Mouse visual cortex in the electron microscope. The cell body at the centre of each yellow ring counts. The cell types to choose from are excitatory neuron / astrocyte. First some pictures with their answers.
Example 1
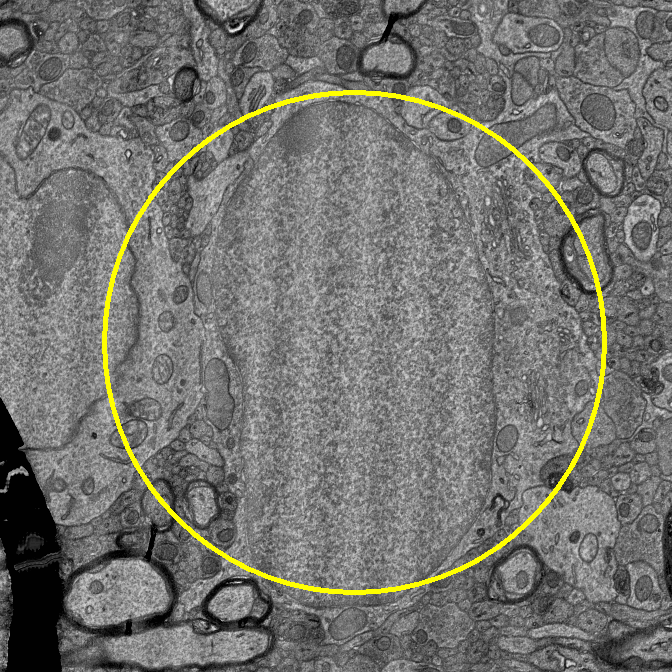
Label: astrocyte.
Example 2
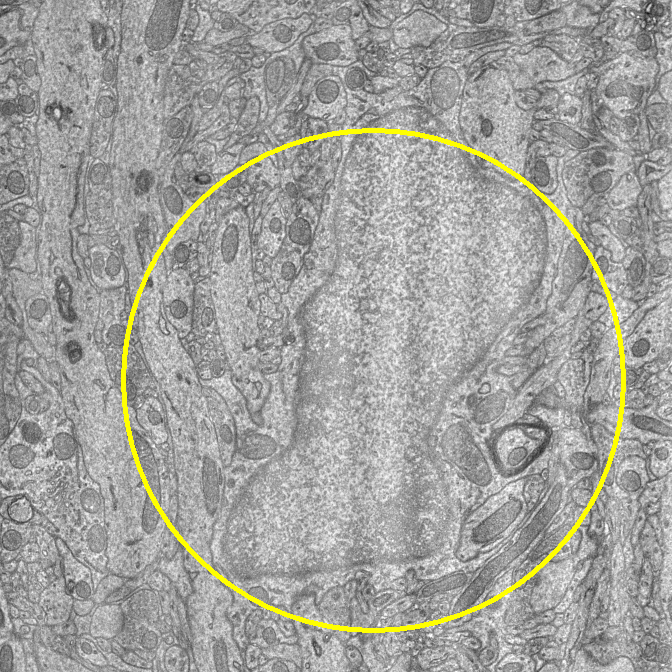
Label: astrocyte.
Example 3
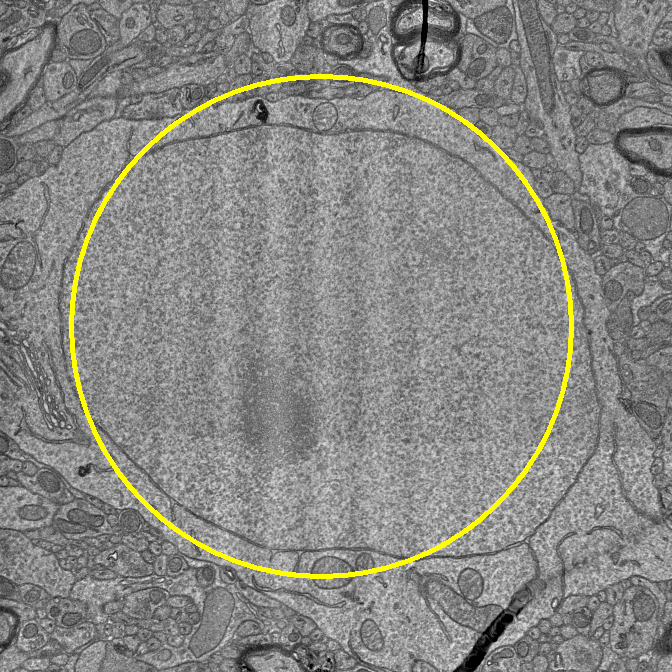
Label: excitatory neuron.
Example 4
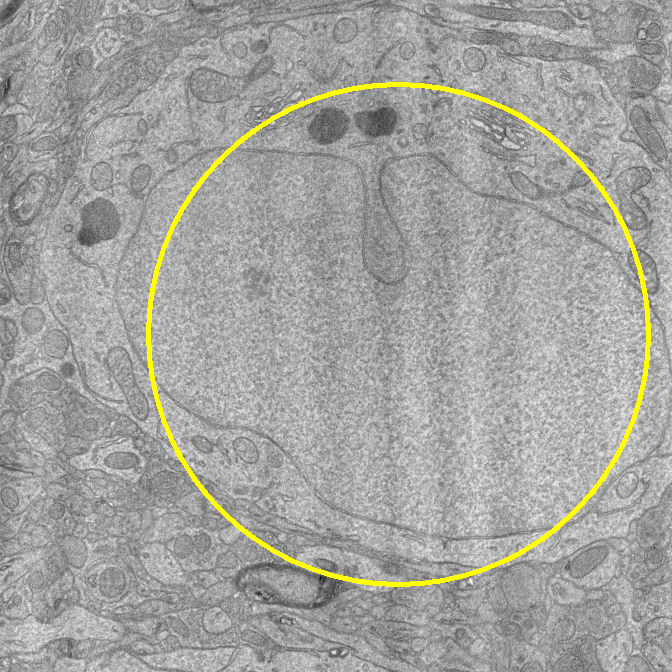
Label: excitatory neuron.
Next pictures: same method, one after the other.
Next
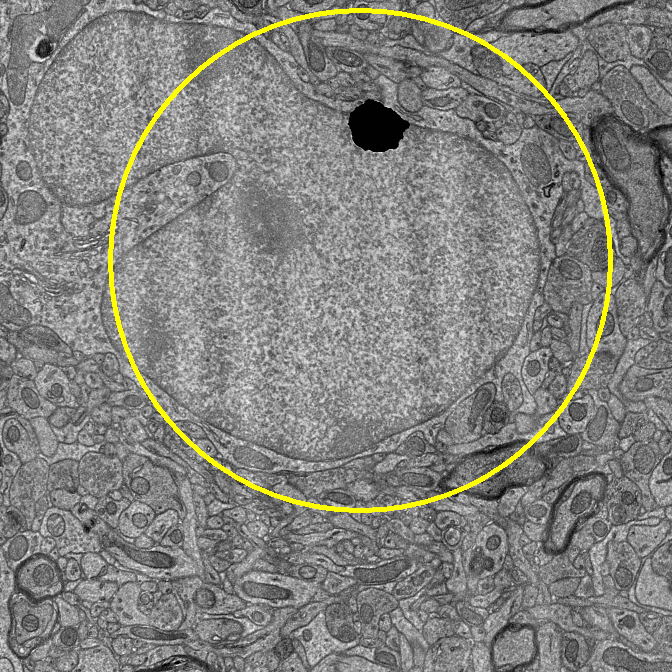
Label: astrocyte.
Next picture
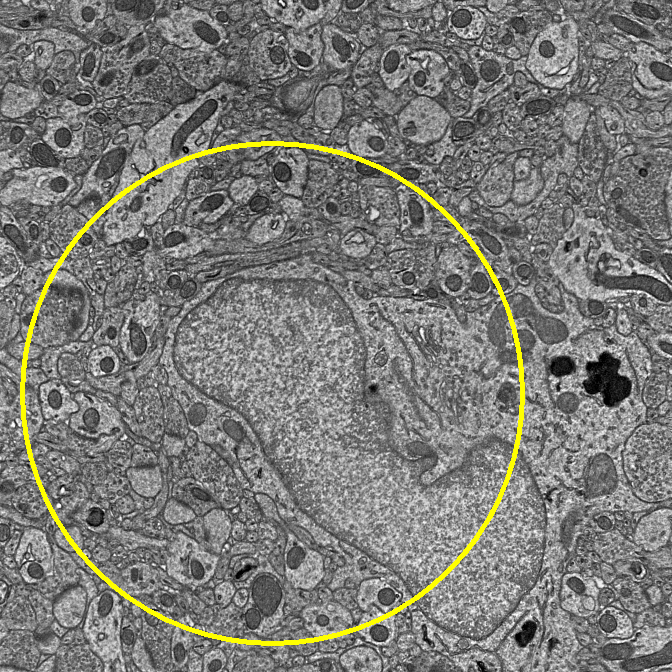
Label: astrocyte.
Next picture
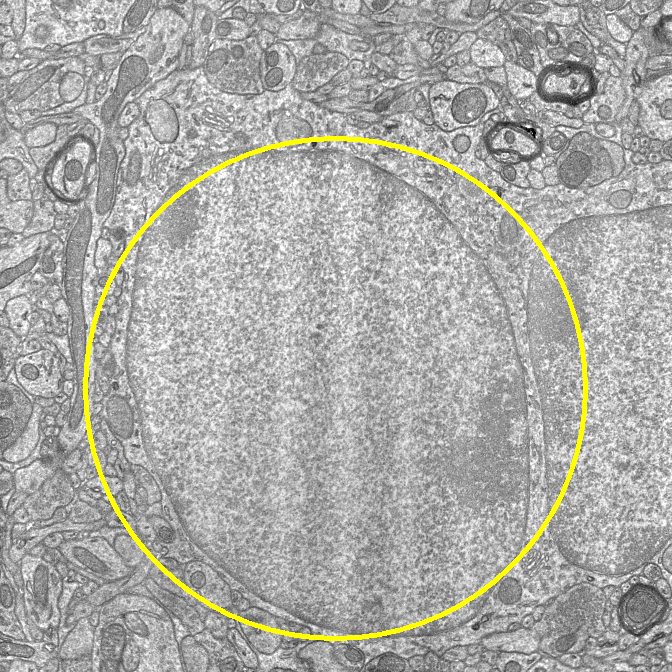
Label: astrocyte.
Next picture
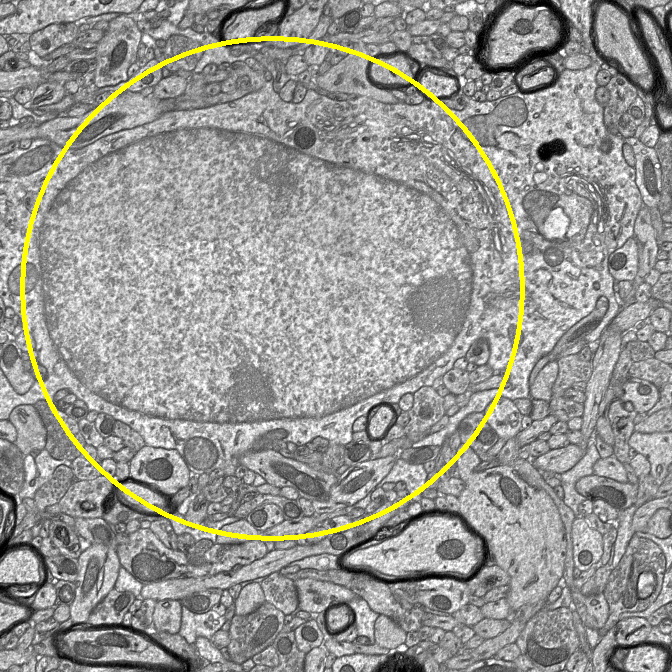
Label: astrocyte.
